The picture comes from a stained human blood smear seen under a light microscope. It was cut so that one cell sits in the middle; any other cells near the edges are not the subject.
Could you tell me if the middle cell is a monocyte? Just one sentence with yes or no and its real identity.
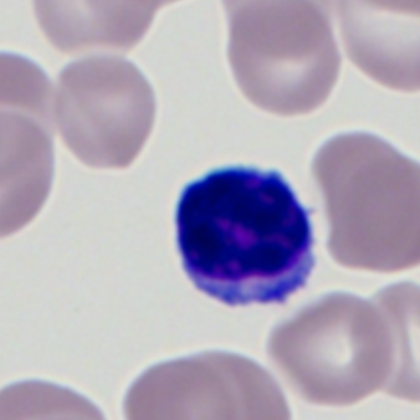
No, the centre cell is not a monocyte but a lymphocyte.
